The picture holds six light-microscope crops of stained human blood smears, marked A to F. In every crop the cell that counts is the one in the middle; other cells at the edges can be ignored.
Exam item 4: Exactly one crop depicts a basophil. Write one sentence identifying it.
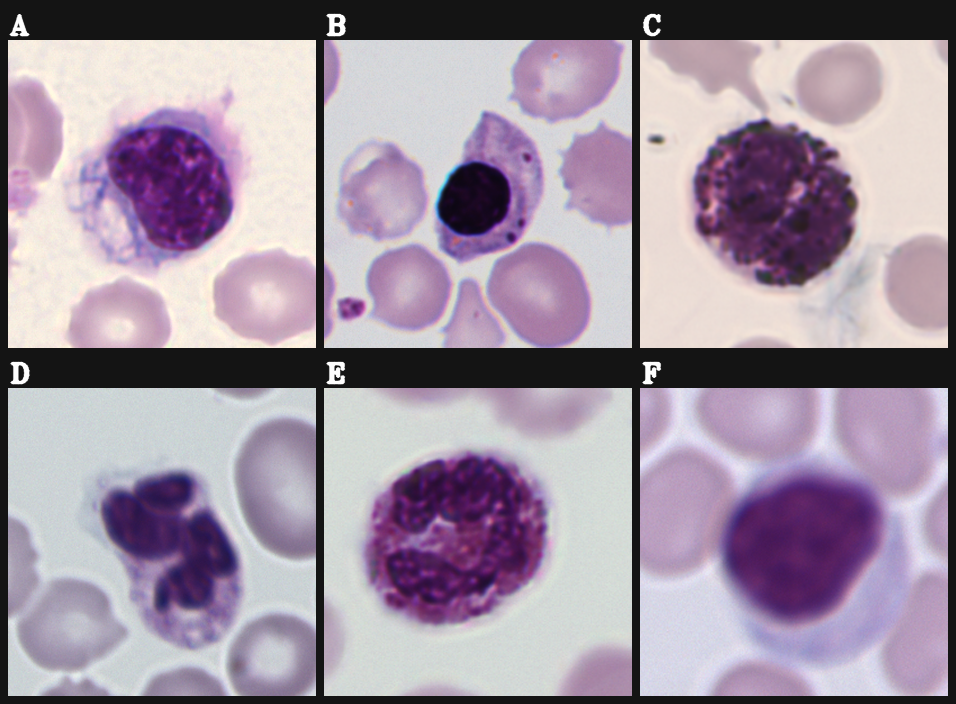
Crop C shows a basophil, and no other crop does.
